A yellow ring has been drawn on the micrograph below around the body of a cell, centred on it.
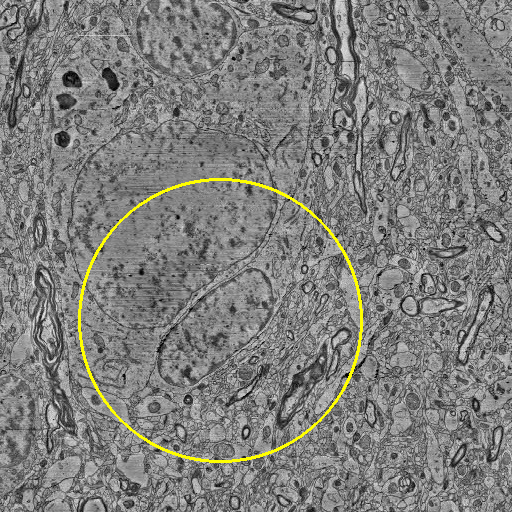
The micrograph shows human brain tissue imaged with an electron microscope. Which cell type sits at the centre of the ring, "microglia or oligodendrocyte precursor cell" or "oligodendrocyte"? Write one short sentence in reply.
The cell sitting at the centre of the ring is a microglial cell or oligodendrocyte precursor cell.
